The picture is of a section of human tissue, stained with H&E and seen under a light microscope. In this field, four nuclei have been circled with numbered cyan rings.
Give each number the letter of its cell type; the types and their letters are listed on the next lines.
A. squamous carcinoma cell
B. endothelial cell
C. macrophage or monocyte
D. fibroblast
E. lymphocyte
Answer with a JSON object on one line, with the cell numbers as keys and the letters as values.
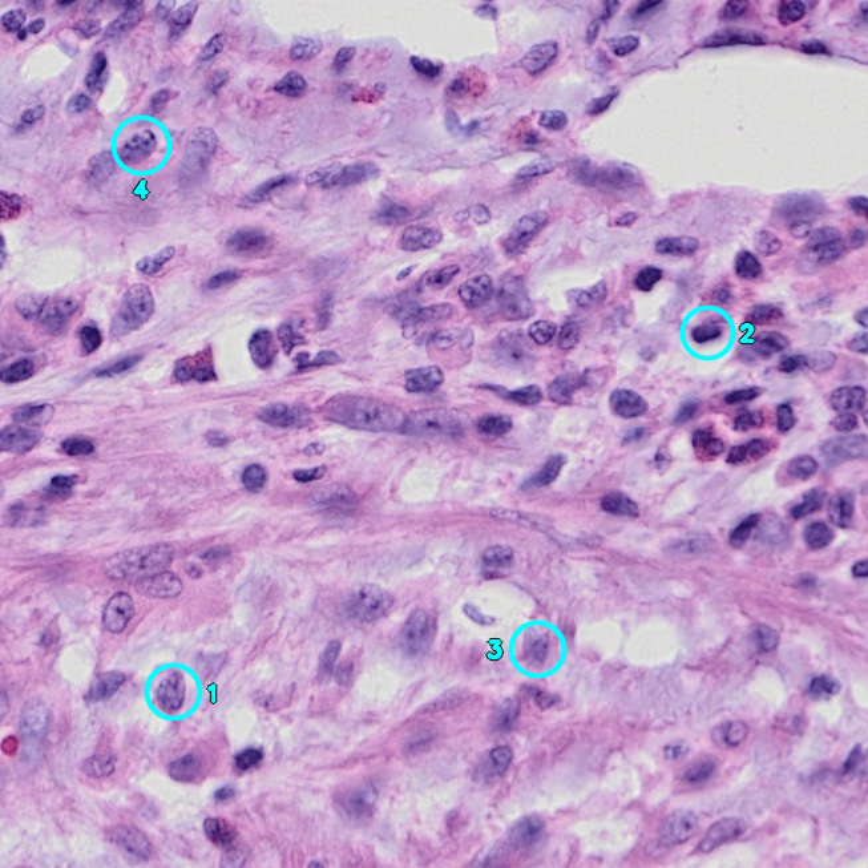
{"1": "C", "2": "E", "3": "D", "4": "E"}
